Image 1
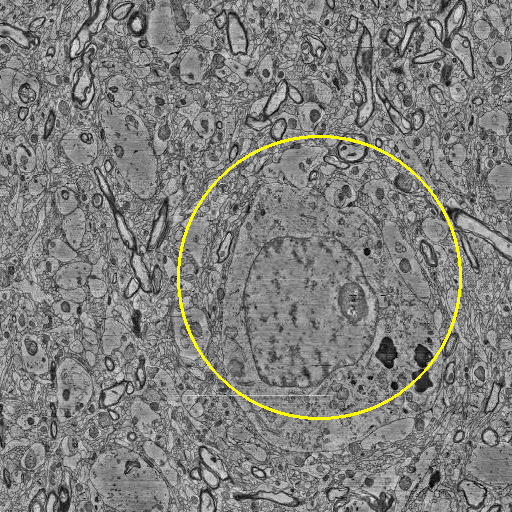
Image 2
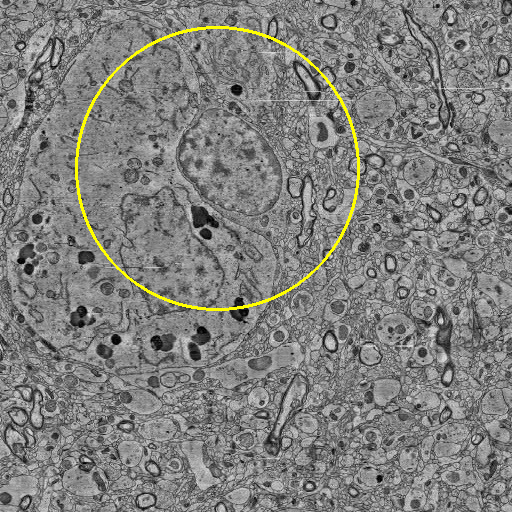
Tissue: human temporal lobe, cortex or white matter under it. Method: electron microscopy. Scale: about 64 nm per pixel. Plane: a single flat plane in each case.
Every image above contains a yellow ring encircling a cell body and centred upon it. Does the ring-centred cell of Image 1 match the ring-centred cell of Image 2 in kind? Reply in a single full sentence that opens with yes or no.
No, the cell at the ring's centre in Image 1 is a separate kind from that in Image 2.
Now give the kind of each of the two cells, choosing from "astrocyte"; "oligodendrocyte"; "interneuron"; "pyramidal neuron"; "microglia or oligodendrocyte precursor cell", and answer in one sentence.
The cell in the first picture is a pyramidal neuron, and the cell in the second is an oligodendrocyte.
